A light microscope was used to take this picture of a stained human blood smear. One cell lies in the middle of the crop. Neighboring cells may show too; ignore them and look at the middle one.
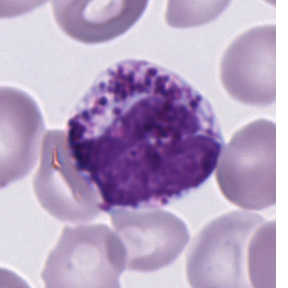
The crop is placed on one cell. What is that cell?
basophil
